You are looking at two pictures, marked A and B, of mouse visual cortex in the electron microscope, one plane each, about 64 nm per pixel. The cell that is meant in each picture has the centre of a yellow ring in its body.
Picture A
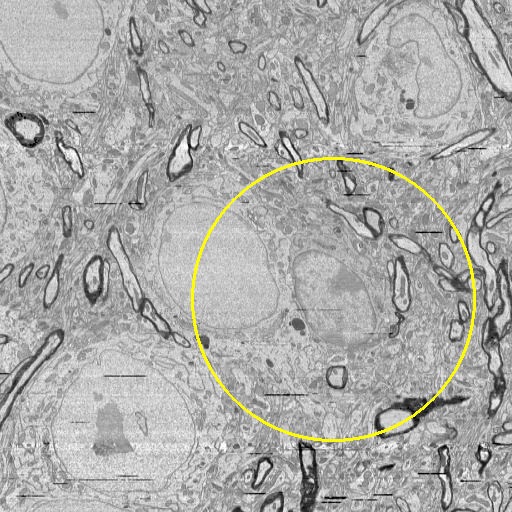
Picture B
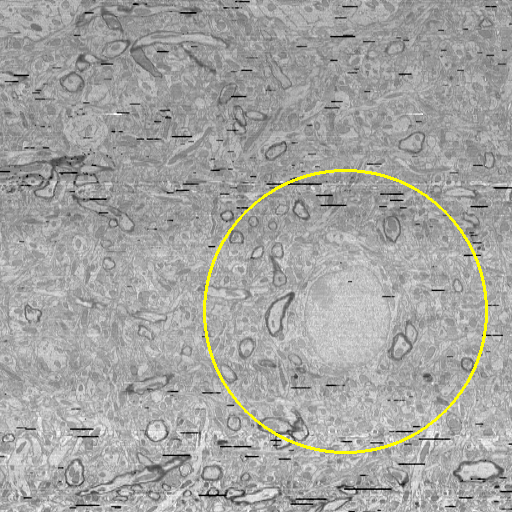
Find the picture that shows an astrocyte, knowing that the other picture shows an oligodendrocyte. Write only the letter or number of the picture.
B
